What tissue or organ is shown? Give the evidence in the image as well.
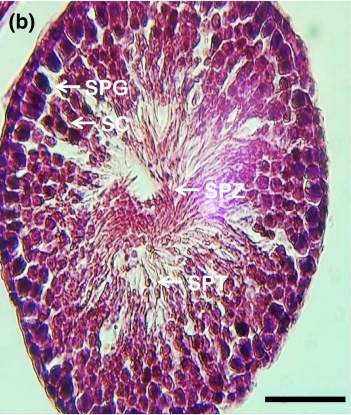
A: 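A round tubule cut in cross-section with a central lumen. A thick, many-layered epithelium of germ cells lines the tubule wall. Slender filaments converge on the lumen.
Conclusion: seminiferous tubules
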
